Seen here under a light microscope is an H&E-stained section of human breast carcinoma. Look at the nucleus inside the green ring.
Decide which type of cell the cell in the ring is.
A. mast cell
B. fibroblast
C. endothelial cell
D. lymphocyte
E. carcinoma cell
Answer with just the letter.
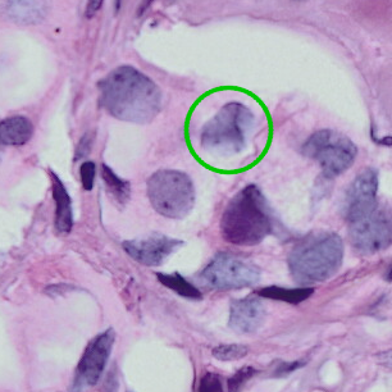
E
